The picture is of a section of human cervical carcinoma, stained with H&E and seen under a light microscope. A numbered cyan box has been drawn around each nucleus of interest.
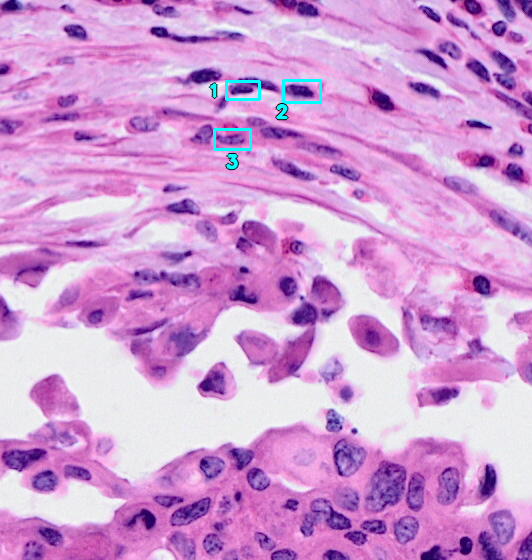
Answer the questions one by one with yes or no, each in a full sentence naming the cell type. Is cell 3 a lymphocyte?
No, the cell with number 3 is not a lymphocyte but an endothelial cell.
